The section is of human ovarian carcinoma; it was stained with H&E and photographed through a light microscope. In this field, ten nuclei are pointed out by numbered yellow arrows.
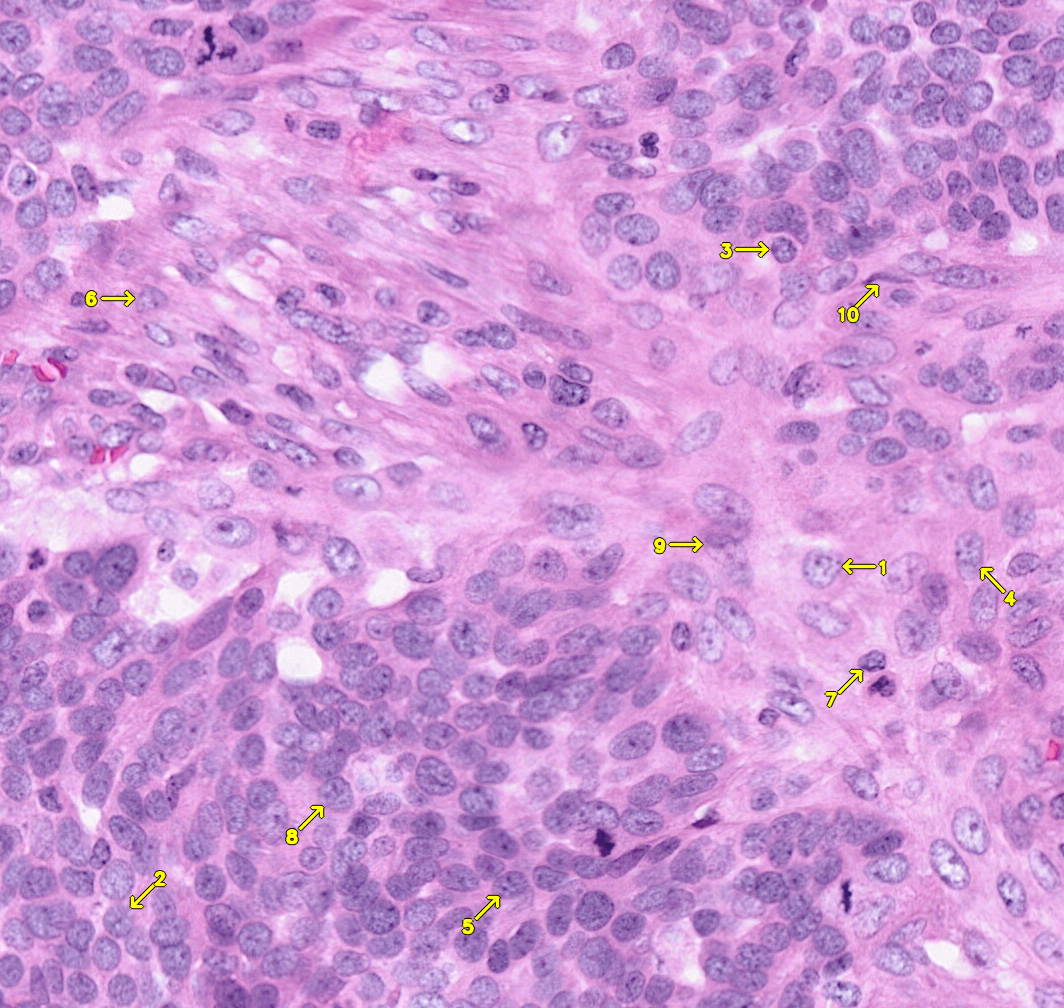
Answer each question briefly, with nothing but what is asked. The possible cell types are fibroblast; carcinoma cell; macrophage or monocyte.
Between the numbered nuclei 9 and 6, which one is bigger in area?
9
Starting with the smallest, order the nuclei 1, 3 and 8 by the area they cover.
3, 8, 1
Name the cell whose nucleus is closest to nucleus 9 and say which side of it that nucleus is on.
a fibroblast below nucleus 9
